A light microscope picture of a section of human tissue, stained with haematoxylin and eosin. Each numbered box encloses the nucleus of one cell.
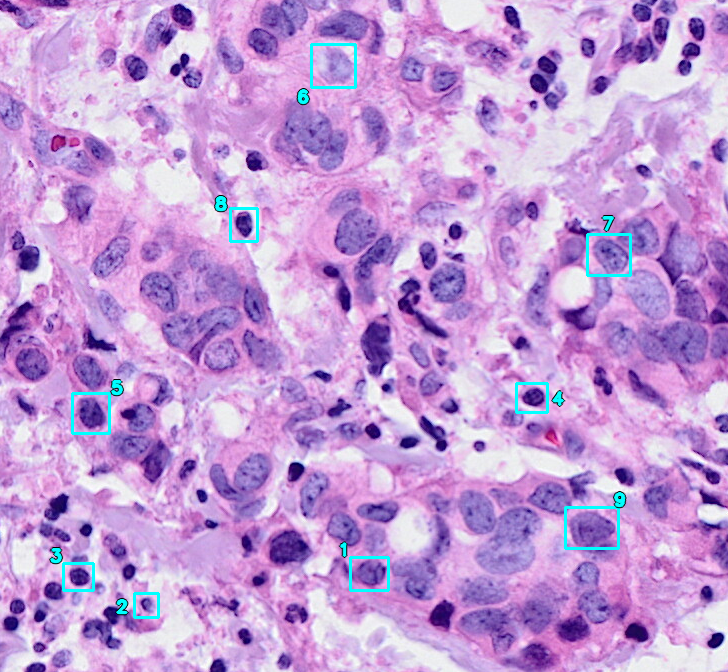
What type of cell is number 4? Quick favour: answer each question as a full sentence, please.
That cell with number 4 is a lymphocyte.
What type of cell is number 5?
The cell given label 5 is a carcinoma cell.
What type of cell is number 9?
Looking at the numbered marks, cell 9 is a carcinoma cell.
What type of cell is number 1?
The cell given label 1 is a carcinoma cell.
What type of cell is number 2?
The cell that is numbered 2 is a lymphocyte.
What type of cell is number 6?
In this section, the cell tagged 6 is a carcinoma cell.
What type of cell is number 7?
The cell marked with the number 7 is a carcinoma cell.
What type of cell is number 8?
The cell identified by number 8 is a lymphocyte.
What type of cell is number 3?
The correct answer for cell 3 is a lymphocyte.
